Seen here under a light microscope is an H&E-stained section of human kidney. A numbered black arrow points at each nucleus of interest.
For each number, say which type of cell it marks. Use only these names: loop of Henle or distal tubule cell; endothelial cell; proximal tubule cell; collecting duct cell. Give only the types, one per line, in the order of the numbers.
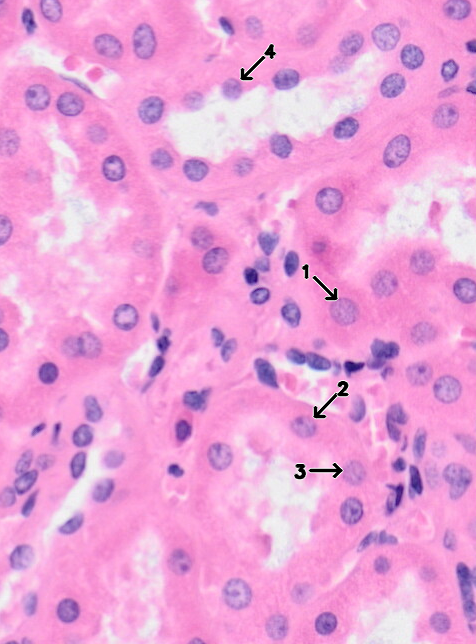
proximal tubule cell
proximal tubule cell
proximal tubule cell
loop of Henle or distal tubule cell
